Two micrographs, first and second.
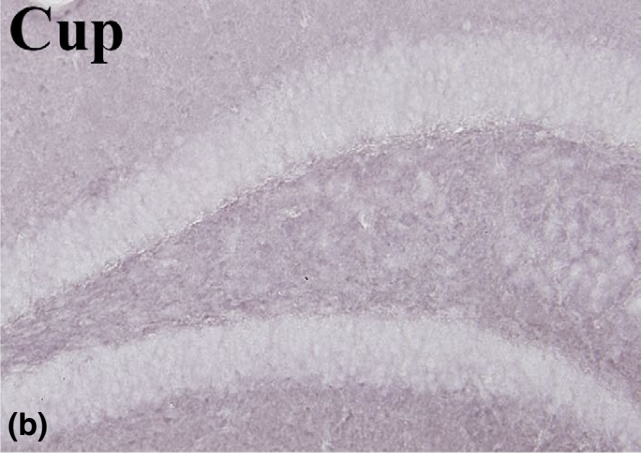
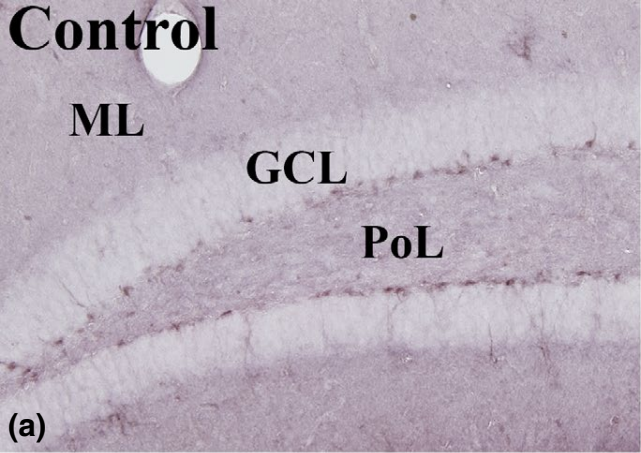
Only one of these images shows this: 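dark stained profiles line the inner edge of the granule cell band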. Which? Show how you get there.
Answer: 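The second image. First image: the inner edge of the pale cell band shows almost no dark stained profiles. Second image: a row of dark purple stained profiles runs along the inner edge of the pale cell band, some with thin processes.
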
